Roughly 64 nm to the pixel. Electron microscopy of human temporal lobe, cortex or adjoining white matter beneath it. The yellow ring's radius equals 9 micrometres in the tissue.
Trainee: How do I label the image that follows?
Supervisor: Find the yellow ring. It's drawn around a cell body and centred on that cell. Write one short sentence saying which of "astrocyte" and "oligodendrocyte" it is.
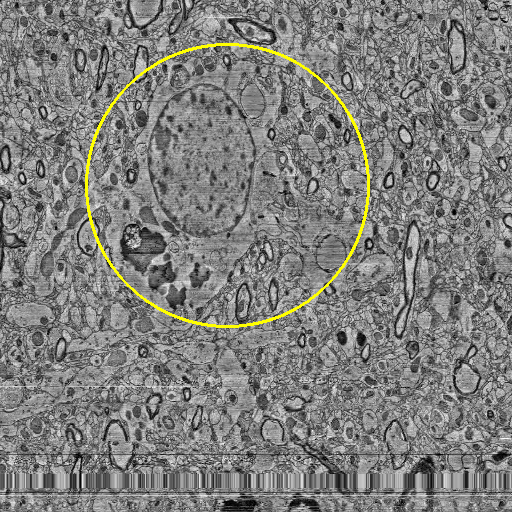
This is the cell body of an astrocyte.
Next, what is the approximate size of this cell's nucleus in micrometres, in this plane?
The nucleus comes to roughly 10 by 7 micrometres in this plane.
